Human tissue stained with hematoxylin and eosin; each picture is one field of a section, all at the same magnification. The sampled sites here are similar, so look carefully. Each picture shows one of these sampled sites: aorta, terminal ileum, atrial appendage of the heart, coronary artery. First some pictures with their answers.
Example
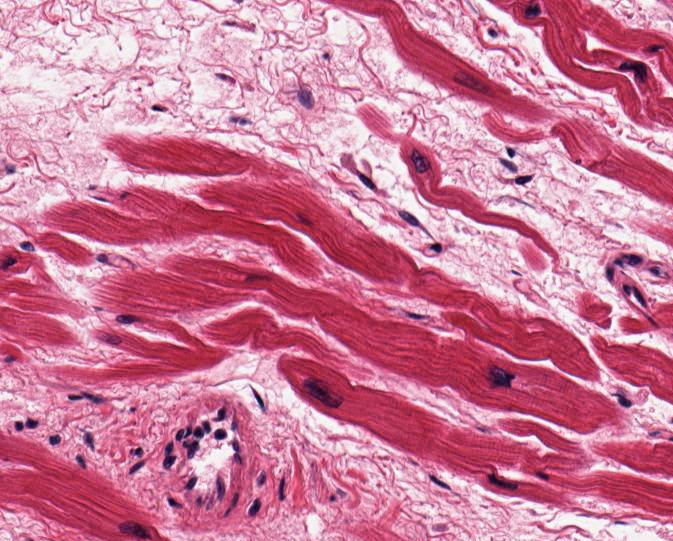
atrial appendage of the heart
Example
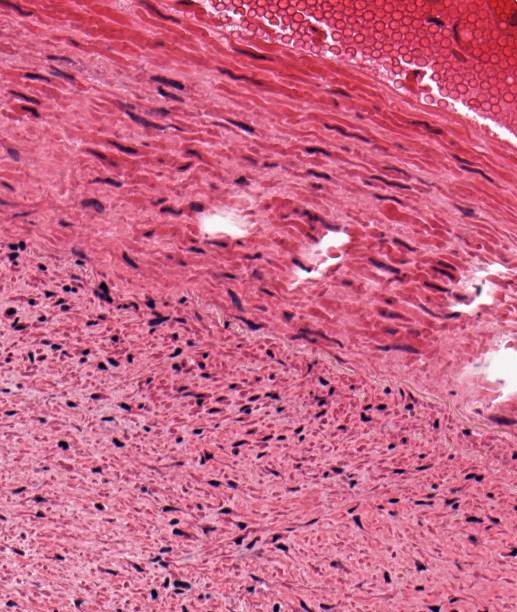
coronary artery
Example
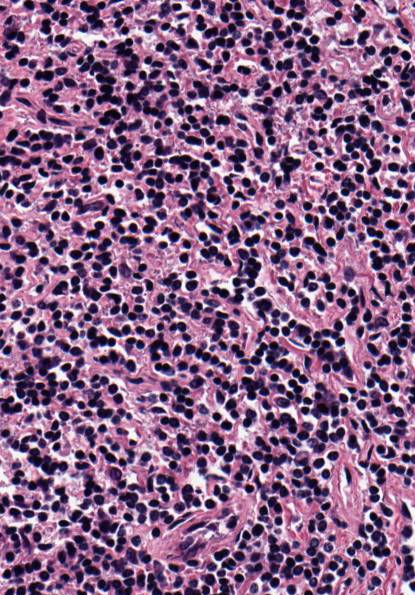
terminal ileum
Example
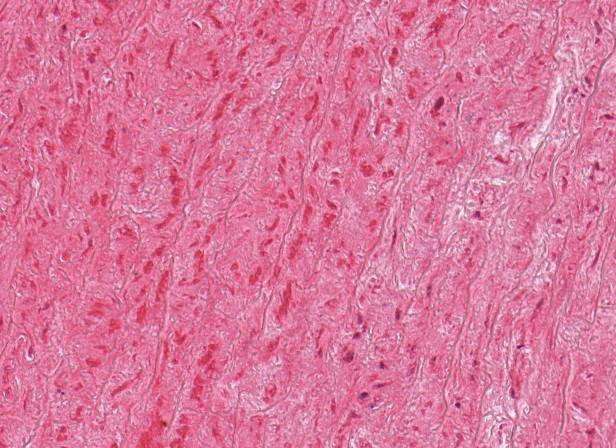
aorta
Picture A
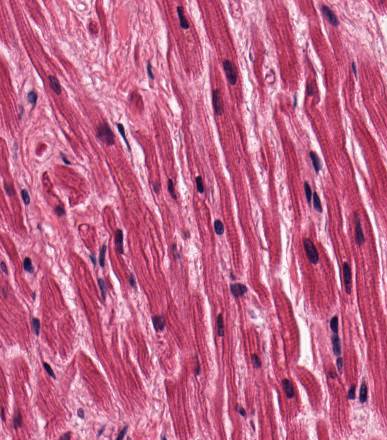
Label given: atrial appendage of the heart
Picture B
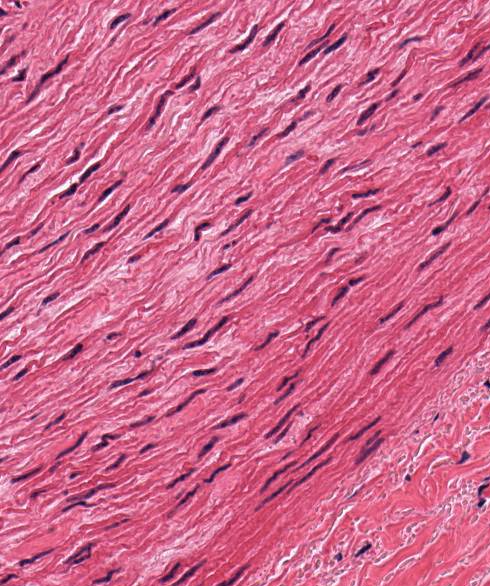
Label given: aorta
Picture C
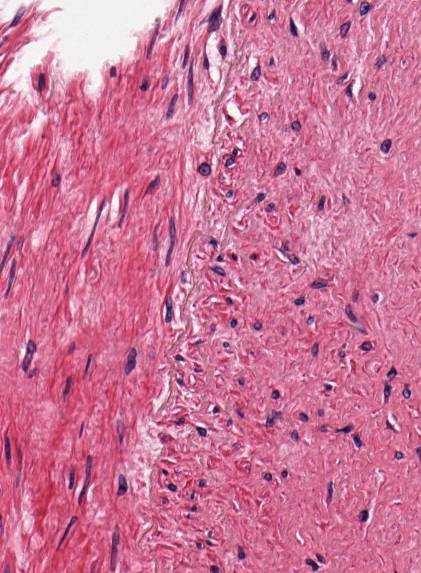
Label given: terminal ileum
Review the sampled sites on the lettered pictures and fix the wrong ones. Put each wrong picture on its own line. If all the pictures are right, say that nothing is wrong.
B: not aorta but coronary artery
C: not terminal ileum but coronary artery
